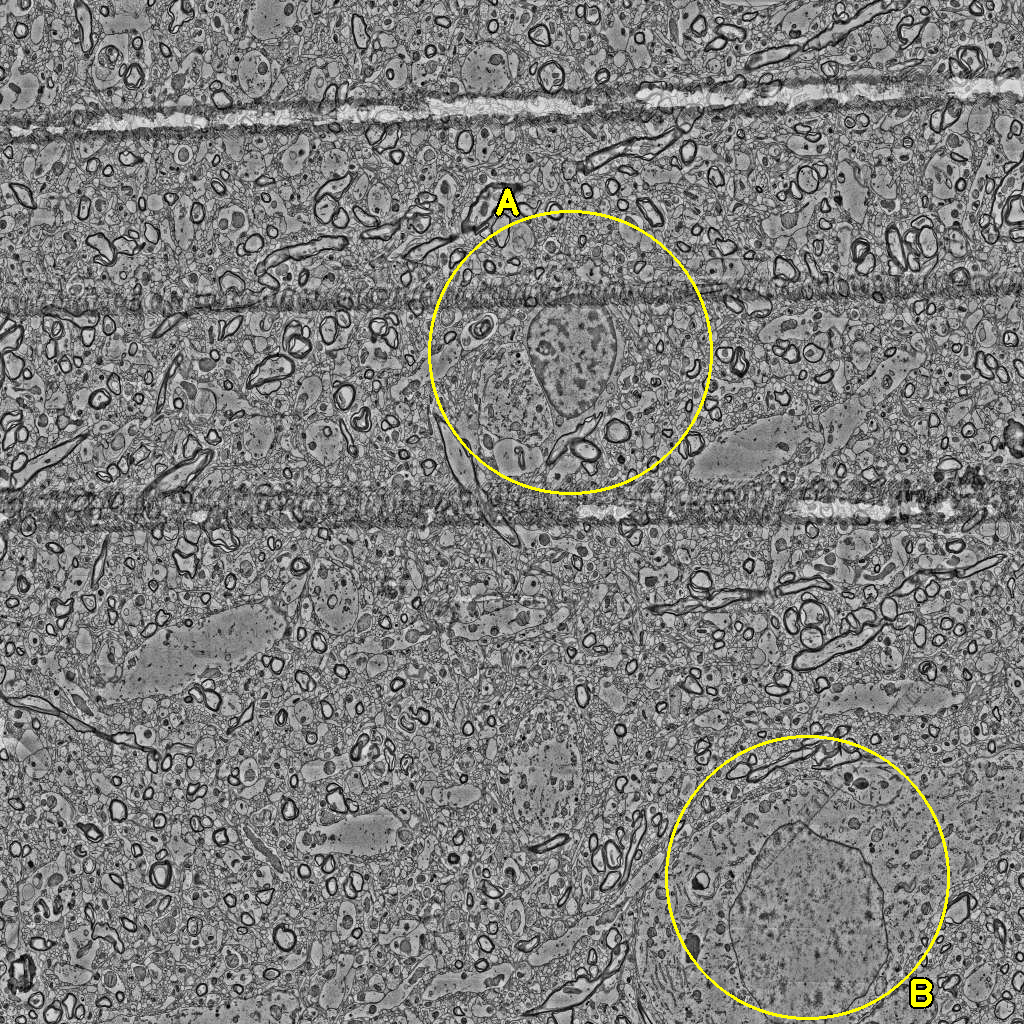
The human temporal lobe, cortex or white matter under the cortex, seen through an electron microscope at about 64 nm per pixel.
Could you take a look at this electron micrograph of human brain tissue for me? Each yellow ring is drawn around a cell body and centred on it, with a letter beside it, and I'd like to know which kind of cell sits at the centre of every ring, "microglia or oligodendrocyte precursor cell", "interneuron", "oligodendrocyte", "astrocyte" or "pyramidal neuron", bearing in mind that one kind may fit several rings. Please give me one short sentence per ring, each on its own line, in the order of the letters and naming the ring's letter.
Ring A is centred on an oligodendrocyte.
Ring B is centred on a pyramidal neuron.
